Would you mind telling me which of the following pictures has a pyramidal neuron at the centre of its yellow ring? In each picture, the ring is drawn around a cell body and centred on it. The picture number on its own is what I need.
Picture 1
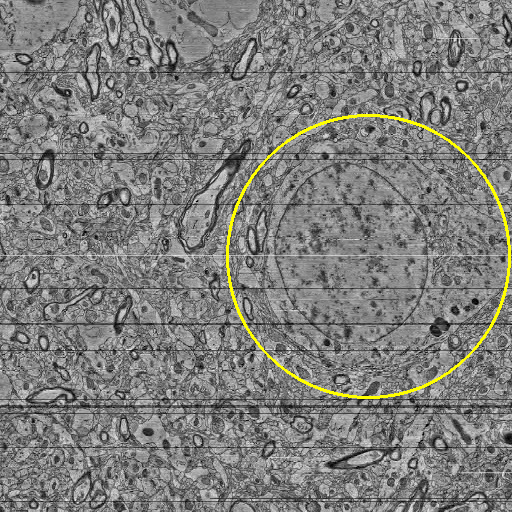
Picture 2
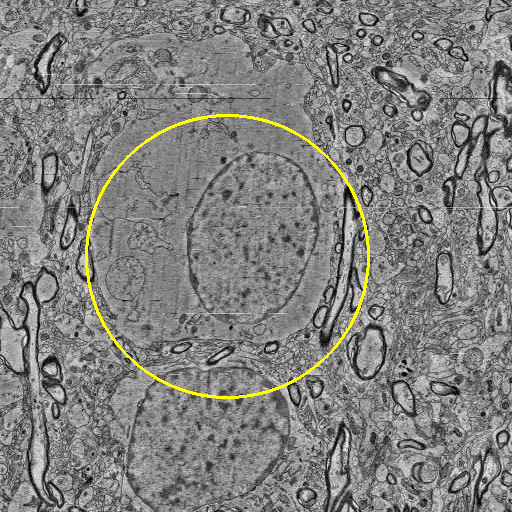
1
